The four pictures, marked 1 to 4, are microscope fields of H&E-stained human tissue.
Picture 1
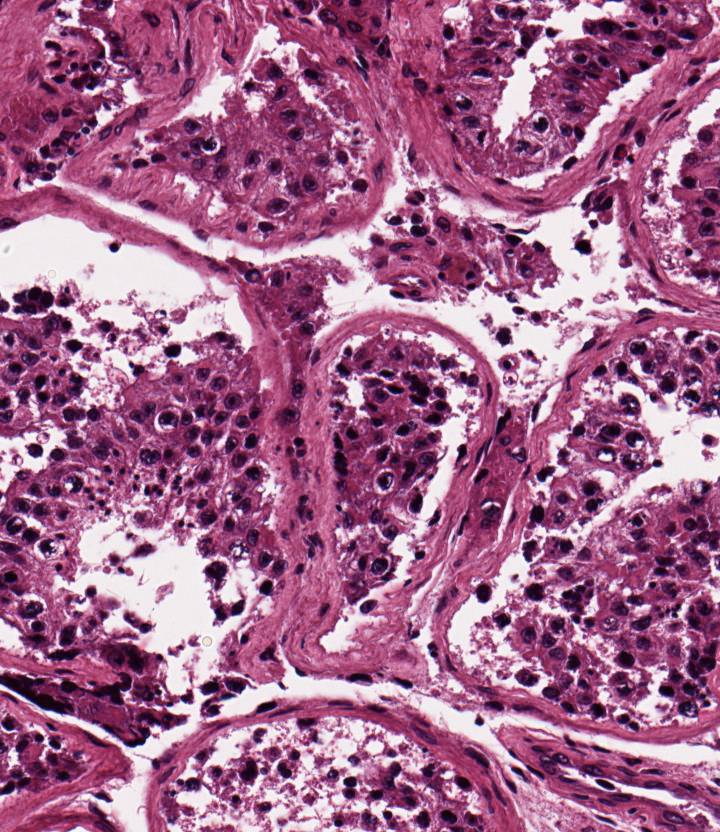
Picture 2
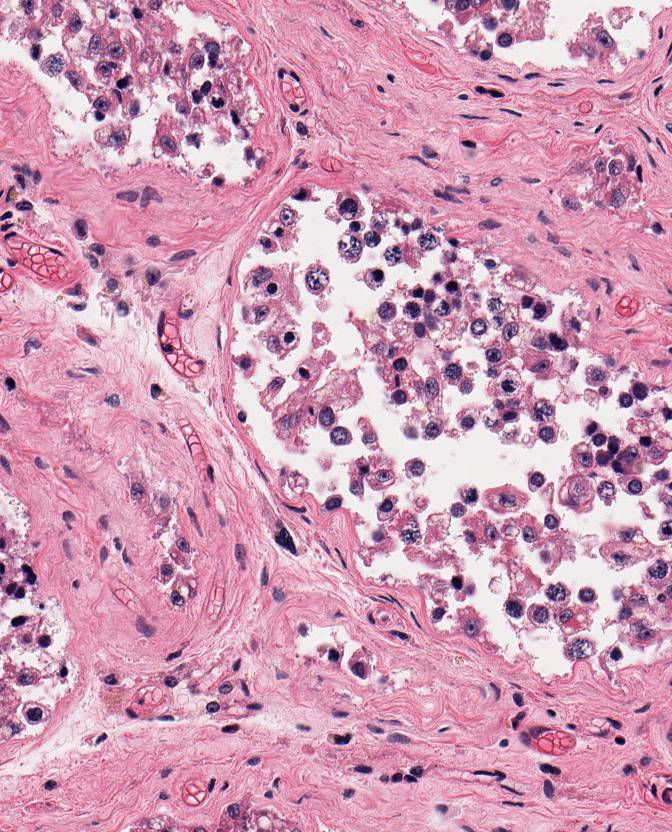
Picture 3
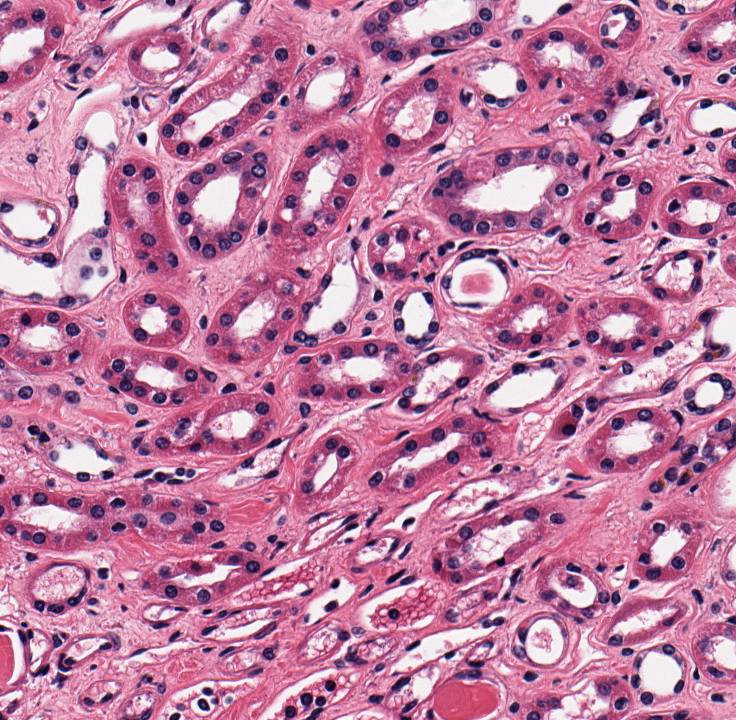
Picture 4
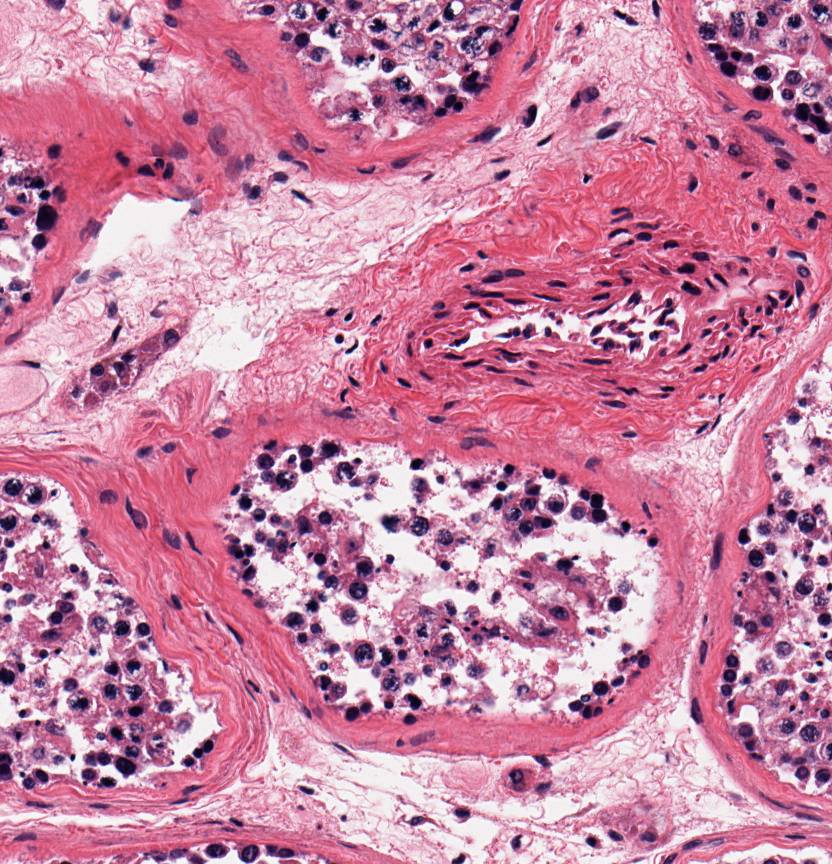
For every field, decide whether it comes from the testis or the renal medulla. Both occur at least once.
1: testis
2: testis
3: renal medulla
4: testis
